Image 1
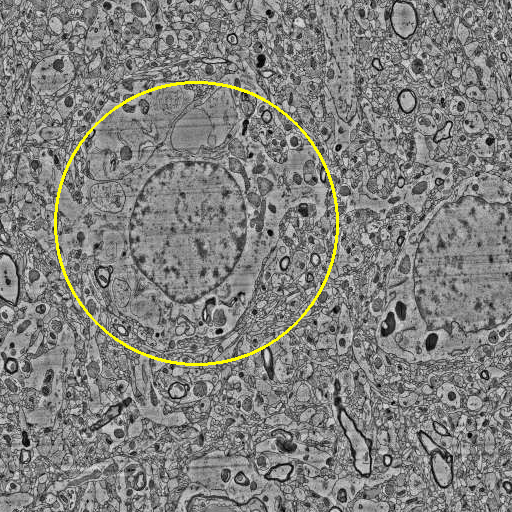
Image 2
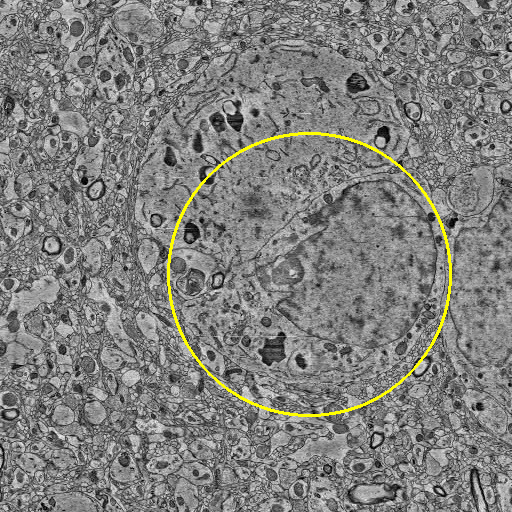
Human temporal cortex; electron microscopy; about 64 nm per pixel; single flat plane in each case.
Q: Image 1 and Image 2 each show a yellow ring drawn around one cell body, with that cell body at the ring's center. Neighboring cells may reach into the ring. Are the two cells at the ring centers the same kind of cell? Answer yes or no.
no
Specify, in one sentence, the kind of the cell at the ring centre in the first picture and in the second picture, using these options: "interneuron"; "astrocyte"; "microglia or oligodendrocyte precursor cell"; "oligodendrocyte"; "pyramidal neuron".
So the first is an astrocyte, the second an interneuron.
